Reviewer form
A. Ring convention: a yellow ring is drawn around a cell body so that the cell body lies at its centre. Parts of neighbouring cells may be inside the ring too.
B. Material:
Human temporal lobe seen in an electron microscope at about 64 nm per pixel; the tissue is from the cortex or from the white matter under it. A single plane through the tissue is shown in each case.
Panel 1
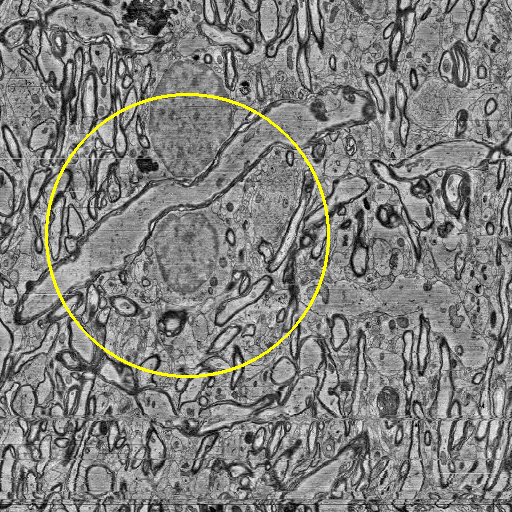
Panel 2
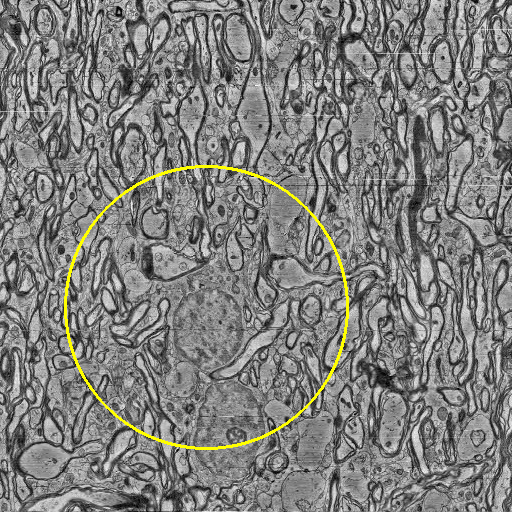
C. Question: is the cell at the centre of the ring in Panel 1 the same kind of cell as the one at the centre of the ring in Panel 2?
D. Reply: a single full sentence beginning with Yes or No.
Yes, the cells in Panel 1 and Panel 2 are the same kind of cell.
